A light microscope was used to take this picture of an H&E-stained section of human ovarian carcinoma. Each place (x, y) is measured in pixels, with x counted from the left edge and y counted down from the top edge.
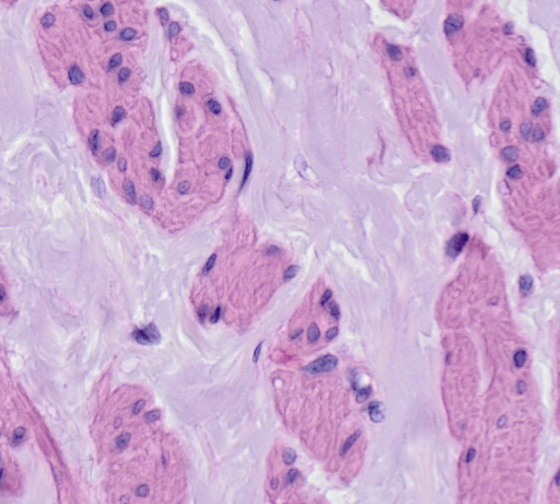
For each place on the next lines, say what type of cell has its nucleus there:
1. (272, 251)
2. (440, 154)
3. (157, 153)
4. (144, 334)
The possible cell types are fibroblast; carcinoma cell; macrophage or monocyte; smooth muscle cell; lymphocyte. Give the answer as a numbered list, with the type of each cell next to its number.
1. smooth muscle cell
2. smooth muscle cell
3. smooth muscle cell
4. fibroblast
